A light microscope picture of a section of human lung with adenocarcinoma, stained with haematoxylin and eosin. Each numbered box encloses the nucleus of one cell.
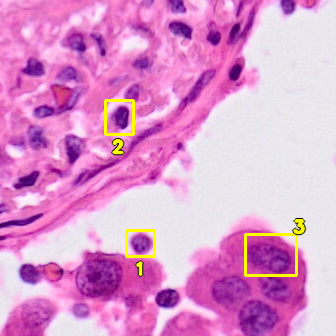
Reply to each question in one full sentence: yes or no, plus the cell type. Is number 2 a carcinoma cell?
No, cell 2, which is a lymphocyte, is not a carcinoma cell.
